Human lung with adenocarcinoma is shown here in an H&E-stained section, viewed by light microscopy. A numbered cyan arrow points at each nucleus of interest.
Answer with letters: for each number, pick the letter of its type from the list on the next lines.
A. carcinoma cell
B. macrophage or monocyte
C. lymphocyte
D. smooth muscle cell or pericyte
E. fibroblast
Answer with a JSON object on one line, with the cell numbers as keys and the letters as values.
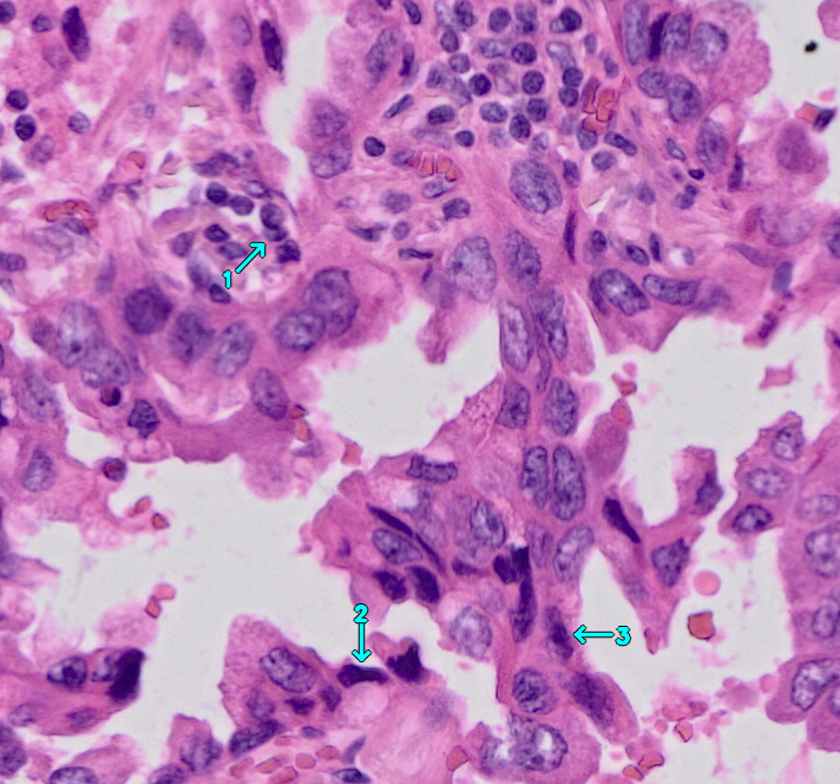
{"1": "C", "2": "A", "3": "A"}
